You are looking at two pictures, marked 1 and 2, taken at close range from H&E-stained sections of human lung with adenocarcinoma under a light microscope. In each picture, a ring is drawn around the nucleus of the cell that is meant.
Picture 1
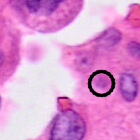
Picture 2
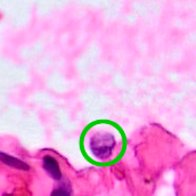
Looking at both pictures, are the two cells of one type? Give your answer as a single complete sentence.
No. Picture 1 shows a “macrophage or monocyte”, but picture 2 shows a type I pneumocyte.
